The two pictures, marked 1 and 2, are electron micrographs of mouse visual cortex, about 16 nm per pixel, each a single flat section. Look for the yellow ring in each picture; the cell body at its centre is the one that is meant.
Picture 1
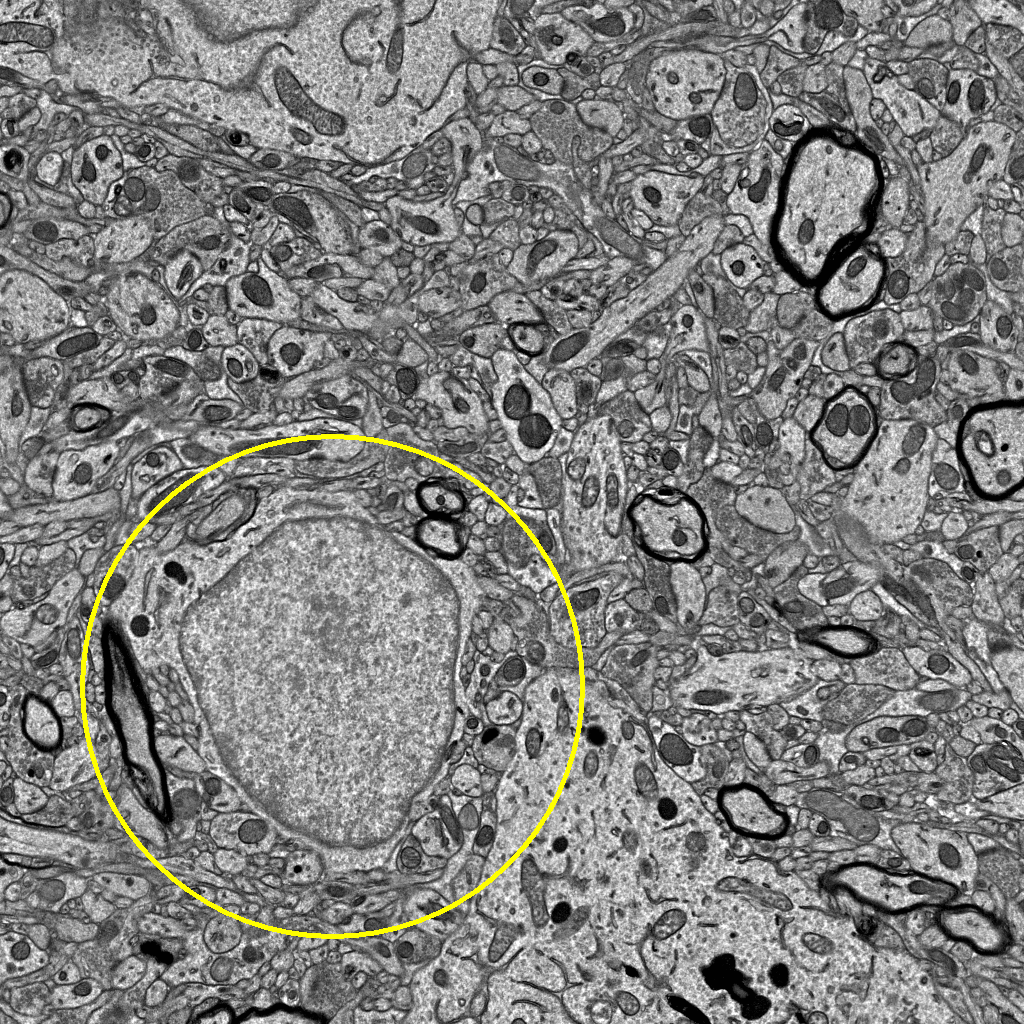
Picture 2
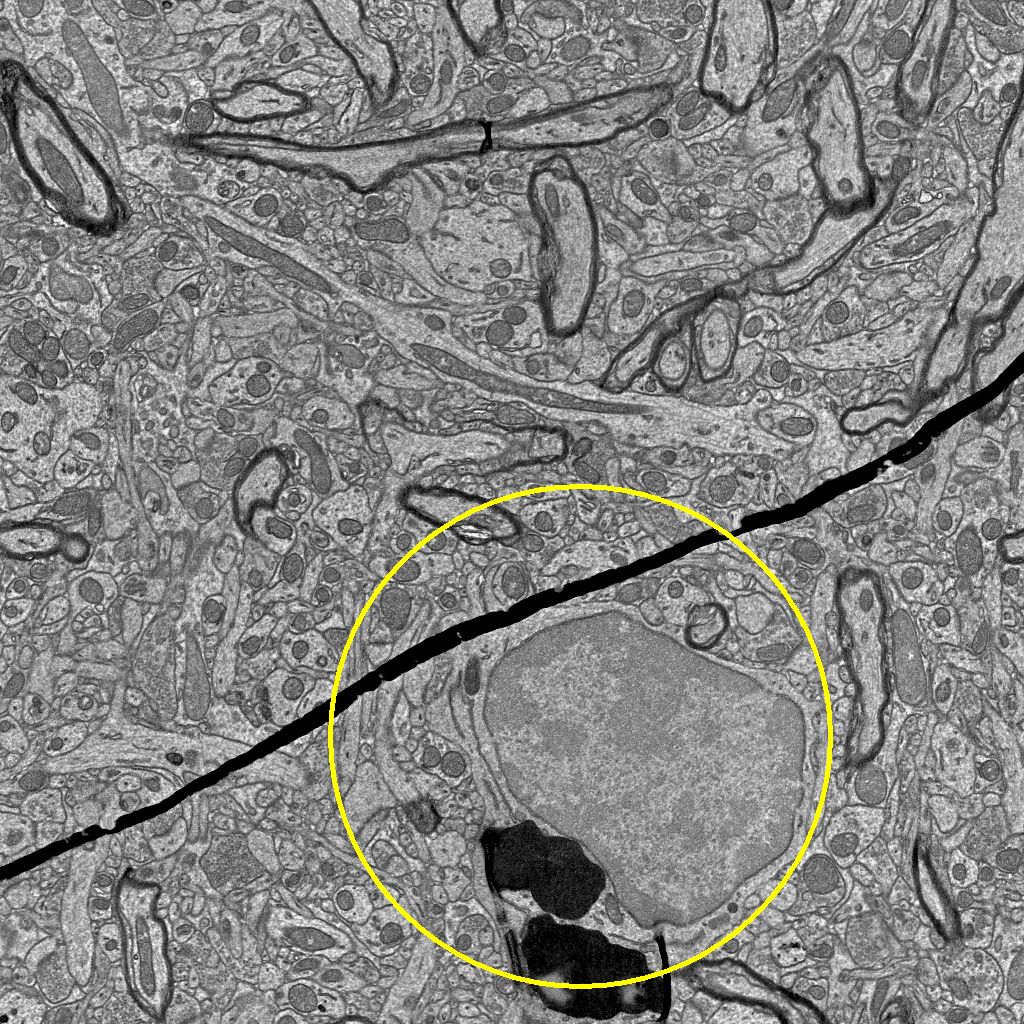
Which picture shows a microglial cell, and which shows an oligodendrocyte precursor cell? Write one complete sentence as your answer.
In picture 1 the cell is an oligodendrocyte precursor cell; in picture 2, a microglial cell.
